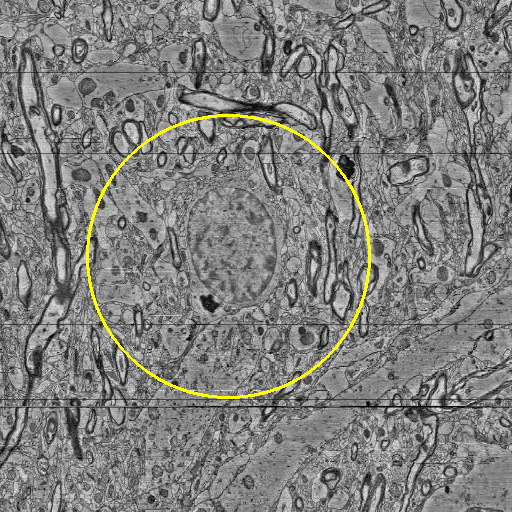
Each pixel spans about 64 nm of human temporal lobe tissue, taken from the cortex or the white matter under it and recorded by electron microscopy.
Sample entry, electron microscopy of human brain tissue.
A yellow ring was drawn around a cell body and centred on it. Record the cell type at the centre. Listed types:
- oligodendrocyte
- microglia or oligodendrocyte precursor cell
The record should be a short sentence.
The cell at the ring's centre is an oligodendrocyte.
